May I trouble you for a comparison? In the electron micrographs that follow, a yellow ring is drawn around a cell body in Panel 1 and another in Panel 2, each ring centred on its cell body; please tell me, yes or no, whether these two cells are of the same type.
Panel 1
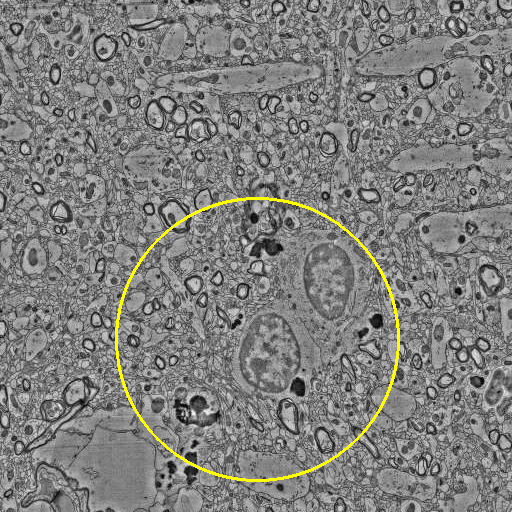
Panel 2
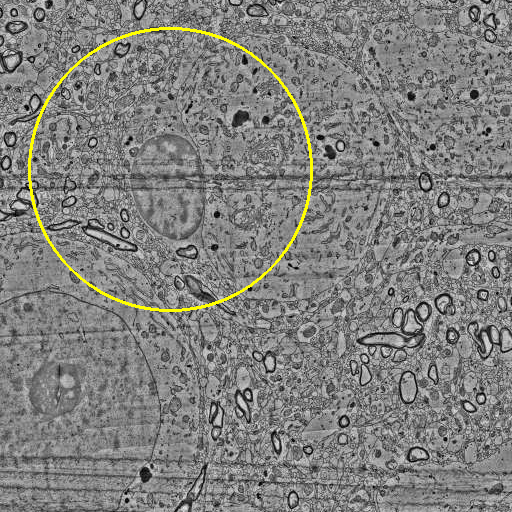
yes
